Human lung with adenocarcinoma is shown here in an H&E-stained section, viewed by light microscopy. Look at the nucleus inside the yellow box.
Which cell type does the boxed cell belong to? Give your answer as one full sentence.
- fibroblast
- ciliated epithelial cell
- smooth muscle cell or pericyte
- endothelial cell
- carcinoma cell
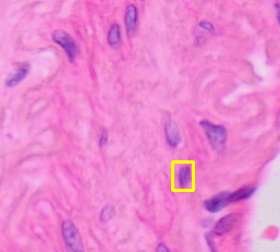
Cell type answer for this item: the boxed cell is a smooth muscle cell or pericyte.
